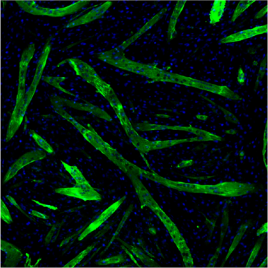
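These are cultured myotubes, long multinucleated muscle cells filled with green stain, lying on a background of small blue nuclei. The myotubes are broad, ribbon-like and often branched or curved, crossing one another in many directions and tapering at their ends. Between the myotubes lies a dark field scattered with many single blue nuclei of cells that carry no green stain, the unfused cells of the culture.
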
